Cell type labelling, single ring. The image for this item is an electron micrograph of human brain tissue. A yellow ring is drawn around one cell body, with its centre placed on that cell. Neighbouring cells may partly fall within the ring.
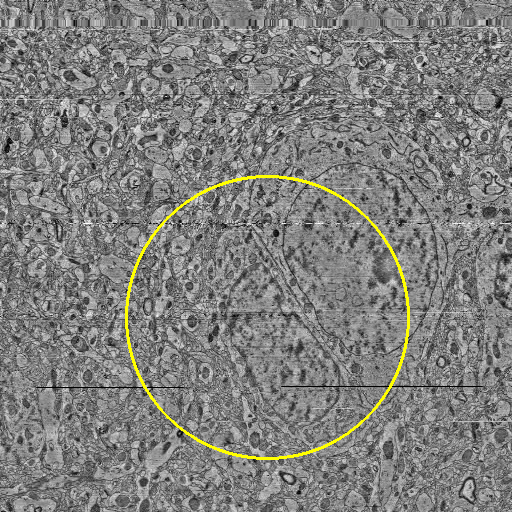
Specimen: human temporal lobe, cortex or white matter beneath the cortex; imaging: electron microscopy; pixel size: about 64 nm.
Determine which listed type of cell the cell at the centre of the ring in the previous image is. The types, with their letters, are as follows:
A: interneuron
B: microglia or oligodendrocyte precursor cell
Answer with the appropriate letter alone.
A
